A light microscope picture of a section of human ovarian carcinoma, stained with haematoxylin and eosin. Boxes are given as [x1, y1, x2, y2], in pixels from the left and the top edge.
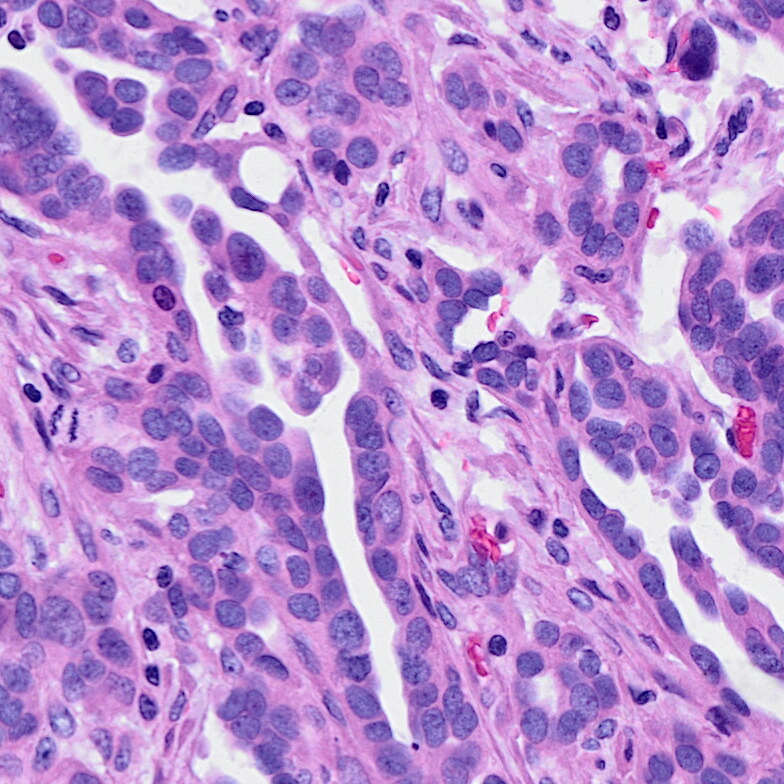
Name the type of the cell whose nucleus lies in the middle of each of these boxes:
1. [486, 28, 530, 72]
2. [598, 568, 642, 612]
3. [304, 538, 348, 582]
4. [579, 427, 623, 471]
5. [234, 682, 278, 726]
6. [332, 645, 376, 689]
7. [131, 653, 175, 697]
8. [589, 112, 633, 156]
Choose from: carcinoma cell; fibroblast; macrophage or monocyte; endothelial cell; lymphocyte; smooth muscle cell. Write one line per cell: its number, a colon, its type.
1: fibroblast
2: fibroblast
3: carcinoma cell
4: carcinoma cell
5: carcinoma cell
6: carcinoma cell
7: lymphocyte
8: carcinoma cell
